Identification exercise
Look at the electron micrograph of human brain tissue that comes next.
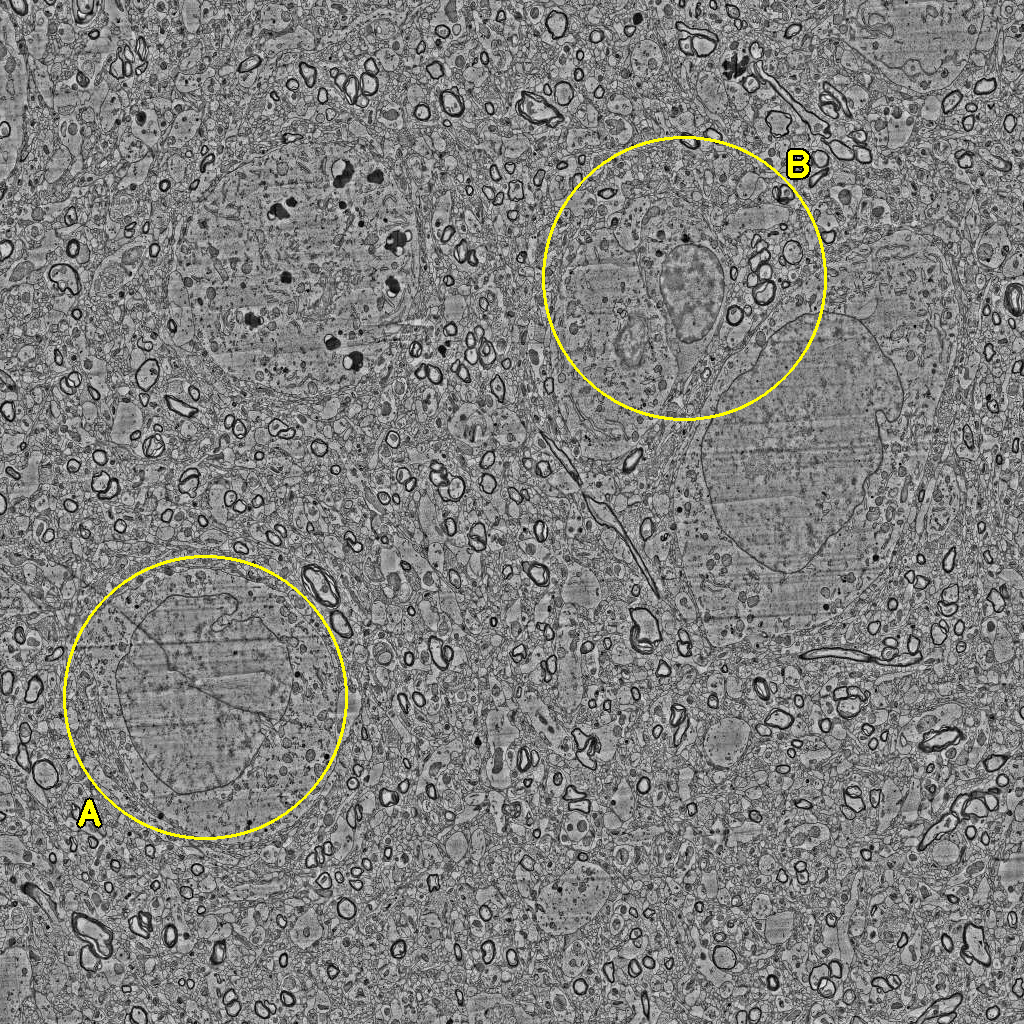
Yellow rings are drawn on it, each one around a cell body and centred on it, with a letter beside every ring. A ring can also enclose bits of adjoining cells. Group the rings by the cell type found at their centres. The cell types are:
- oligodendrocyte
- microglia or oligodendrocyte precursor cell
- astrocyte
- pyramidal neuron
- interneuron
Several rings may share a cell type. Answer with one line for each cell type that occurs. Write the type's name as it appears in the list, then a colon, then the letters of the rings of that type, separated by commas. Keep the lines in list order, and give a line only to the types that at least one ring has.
oligodendrocyte: B
pyramidal neuron: A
